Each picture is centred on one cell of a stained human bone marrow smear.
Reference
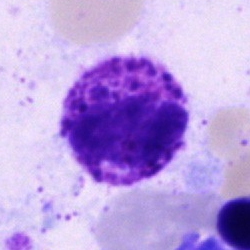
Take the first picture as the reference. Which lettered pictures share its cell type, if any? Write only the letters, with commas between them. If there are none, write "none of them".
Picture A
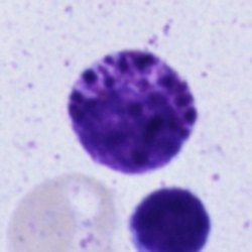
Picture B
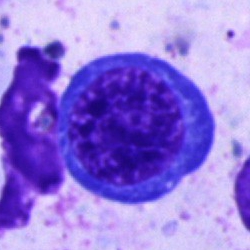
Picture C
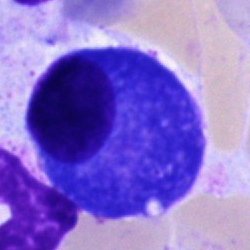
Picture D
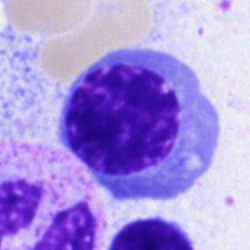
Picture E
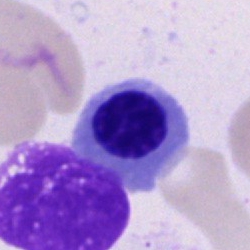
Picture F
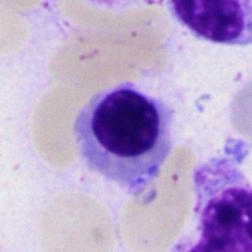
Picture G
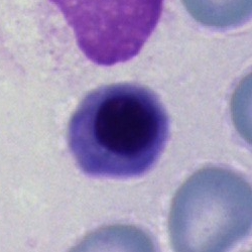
A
